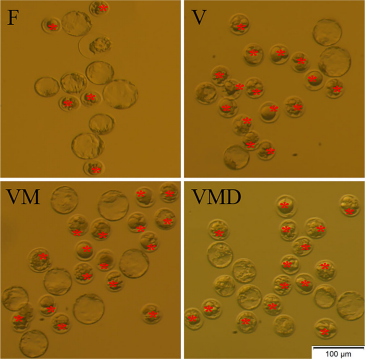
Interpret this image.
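Embryos of two appearances lie scattered: larger round ones with a wide clear cavity bounded by a thin layer of cells, and smaller compact ones without such a cavity, the latter marked by red asterisks. The cavitated embryos are blastocysts, while the compact marked ones have lagged in development.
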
